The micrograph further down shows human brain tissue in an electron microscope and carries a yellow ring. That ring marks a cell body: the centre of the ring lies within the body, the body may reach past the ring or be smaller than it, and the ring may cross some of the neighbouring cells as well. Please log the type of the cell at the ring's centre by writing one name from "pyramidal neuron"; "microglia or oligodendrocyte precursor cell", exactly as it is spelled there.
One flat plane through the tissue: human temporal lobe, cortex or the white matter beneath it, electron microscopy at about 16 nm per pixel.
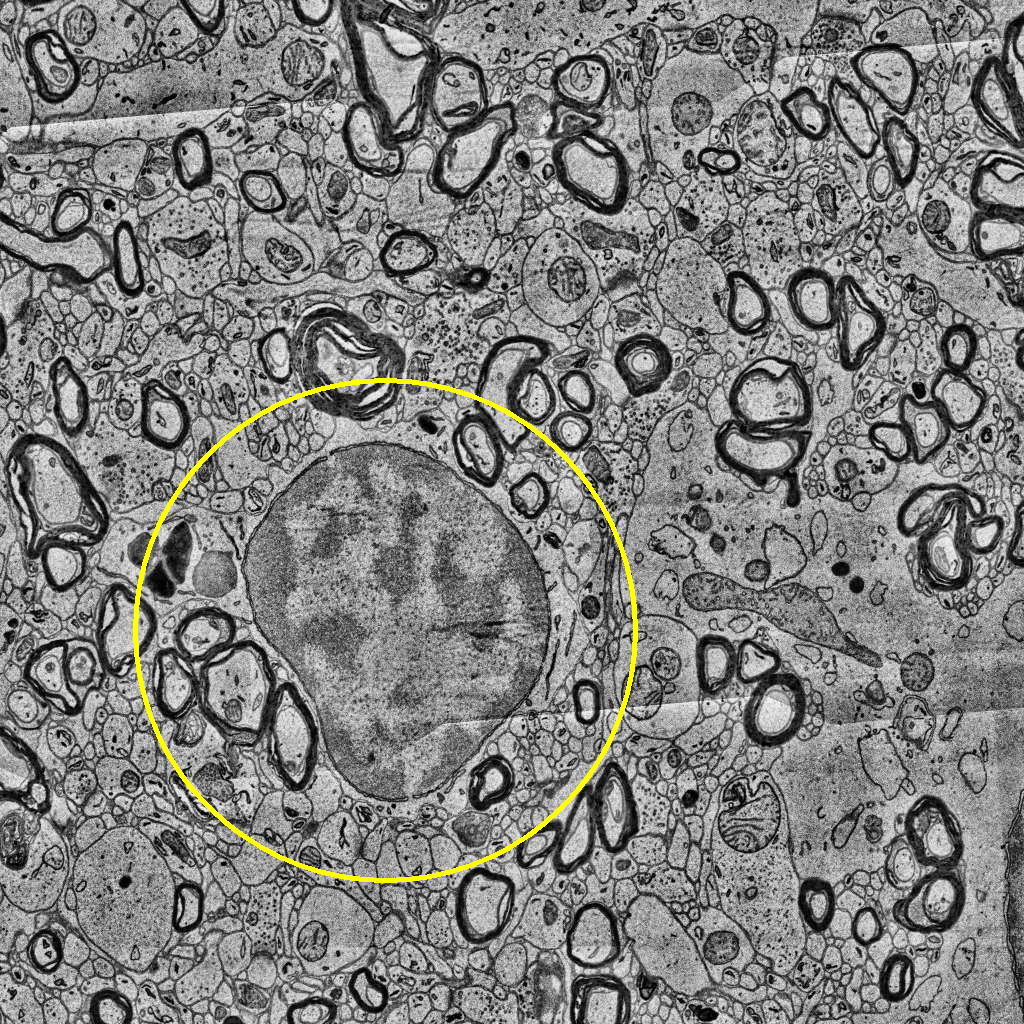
microglia or oligodendrocyte precursor cell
